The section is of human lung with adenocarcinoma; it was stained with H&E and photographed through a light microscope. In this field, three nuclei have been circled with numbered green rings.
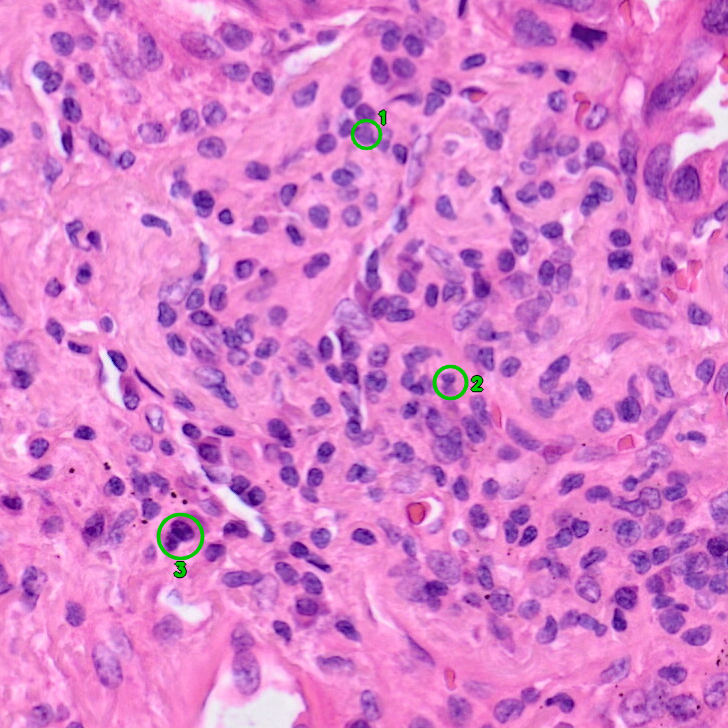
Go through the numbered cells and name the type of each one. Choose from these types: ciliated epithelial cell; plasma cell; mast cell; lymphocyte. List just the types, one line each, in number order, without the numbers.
lymphocyte
lymphocyte
plasma cell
